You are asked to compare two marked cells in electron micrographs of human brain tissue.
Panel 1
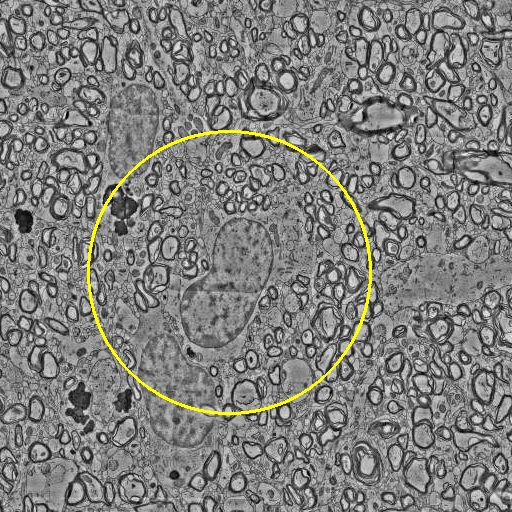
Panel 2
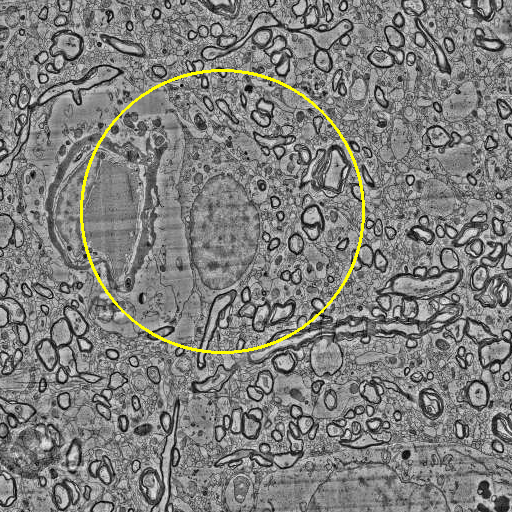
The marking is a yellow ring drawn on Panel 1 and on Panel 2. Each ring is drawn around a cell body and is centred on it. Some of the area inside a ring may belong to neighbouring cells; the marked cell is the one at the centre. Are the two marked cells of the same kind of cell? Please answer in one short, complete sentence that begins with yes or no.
No, the two marked cells are of two kinds.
